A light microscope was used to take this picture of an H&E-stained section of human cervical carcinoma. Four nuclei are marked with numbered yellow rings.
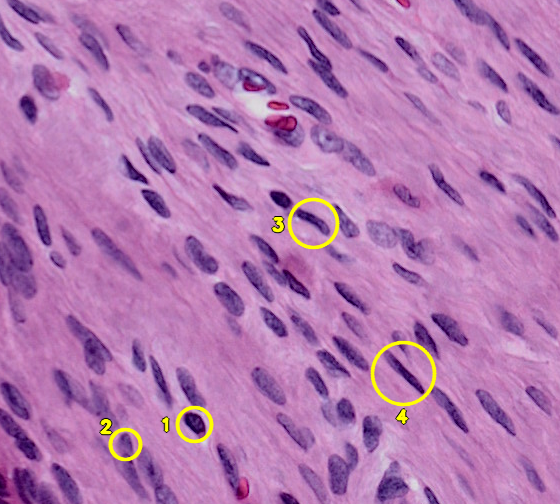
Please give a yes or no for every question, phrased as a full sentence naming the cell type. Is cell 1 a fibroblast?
No, number 1 is assigned to a lymphocyte, not to a fibroblast.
